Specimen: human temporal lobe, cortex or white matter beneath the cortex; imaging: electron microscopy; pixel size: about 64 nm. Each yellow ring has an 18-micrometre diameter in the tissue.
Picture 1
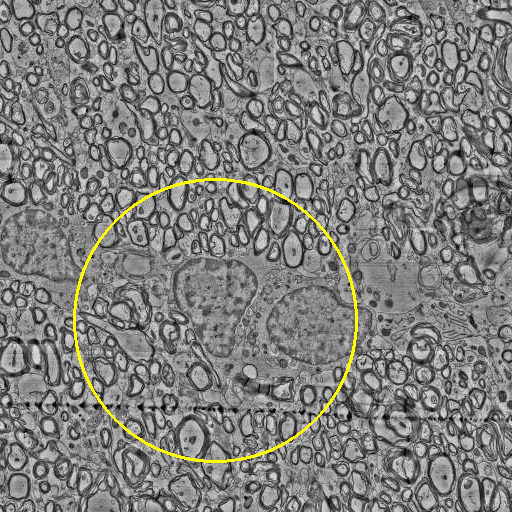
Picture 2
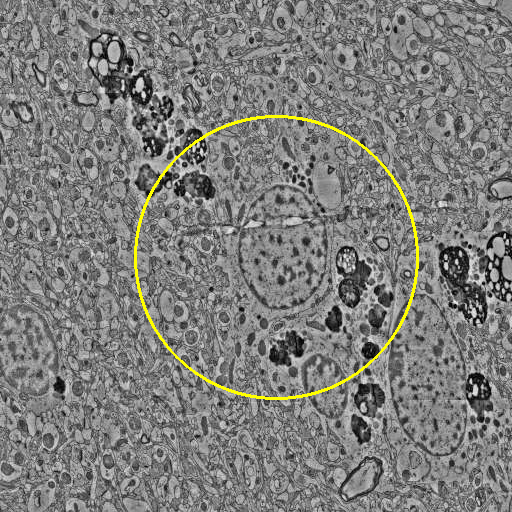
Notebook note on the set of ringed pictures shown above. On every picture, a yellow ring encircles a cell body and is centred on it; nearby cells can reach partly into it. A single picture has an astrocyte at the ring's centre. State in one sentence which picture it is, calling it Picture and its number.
Picture 2 is the one whose ring is centred on the sought cell.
